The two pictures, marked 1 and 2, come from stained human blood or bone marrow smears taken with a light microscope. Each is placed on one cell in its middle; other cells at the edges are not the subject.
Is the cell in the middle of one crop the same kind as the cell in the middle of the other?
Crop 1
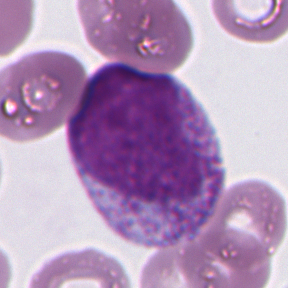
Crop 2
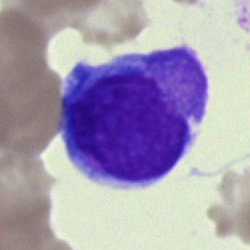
no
